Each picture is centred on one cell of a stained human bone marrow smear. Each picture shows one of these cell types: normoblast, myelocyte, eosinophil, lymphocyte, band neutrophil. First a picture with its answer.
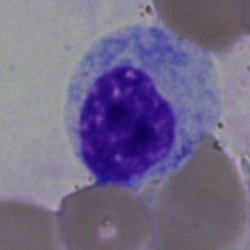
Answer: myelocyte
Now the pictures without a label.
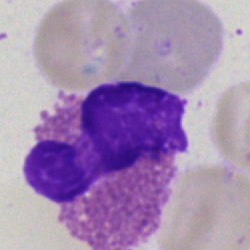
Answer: eosinophil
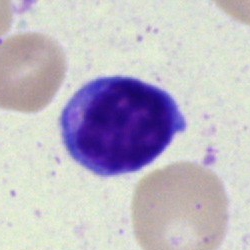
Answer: lymphocyte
